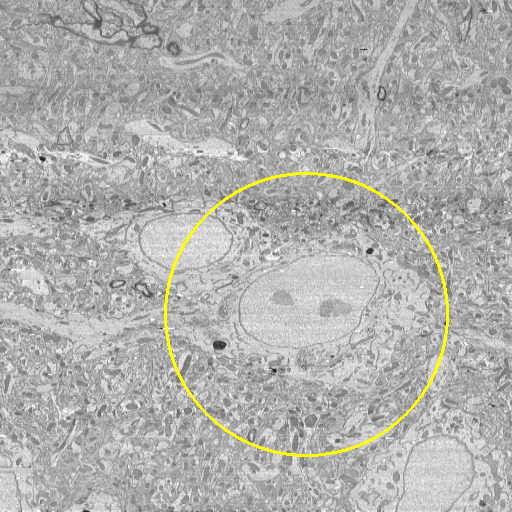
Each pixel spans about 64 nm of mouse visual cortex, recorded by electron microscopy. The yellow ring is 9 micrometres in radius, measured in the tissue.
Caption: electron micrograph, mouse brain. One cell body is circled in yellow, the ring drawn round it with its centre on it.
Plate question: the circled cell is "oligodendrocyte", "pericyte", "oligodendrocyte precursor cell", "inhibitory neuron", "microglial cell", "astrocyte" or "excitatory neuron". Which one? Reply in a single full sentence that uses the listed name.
The yellow ring on the plate is centred on an excitatory neuron, going by the listed names.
